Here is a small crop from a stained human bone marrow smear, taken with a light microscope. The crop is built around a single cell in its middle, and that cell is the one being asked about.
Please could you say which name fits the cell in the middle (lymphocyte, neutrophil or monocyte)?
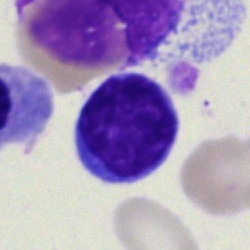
lymphocyte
